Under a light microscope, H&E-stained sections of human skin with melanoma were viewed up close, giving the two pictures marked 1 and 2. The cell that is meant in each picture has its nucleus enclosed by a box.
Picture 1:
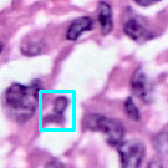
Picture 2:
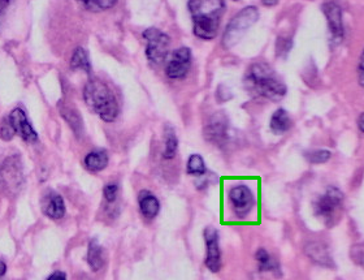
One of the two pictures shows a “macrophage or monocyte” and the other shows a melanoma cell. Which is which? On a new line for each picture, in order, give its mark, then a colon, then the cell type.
1: melanoma cell
2: macrophage or monocyte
